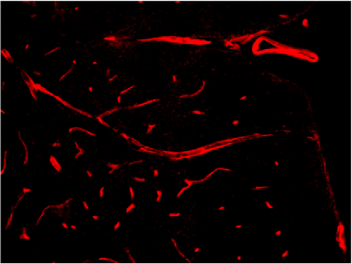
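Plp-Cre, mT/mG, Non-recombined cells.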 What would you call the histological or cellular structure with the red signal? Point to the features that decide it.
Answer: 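Vasculature. Red signal outlines long branching tubular profiles. Larger tubes with a hollow lumen run across the top.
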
